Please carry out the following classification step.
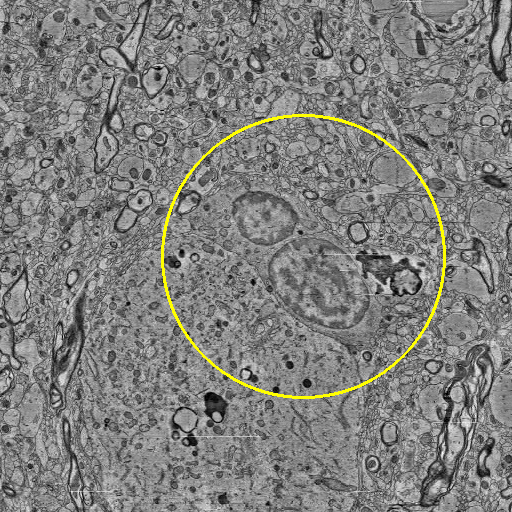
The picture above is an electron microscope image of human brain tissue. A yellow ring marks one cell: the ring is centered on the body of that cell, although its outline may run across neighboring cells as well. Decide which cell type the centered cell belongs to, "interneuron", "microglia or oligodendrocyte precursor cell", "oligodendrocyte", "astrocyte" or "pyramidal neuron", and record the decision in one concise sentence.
The cell centered in the yellow ring is an oligodendrocyte.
